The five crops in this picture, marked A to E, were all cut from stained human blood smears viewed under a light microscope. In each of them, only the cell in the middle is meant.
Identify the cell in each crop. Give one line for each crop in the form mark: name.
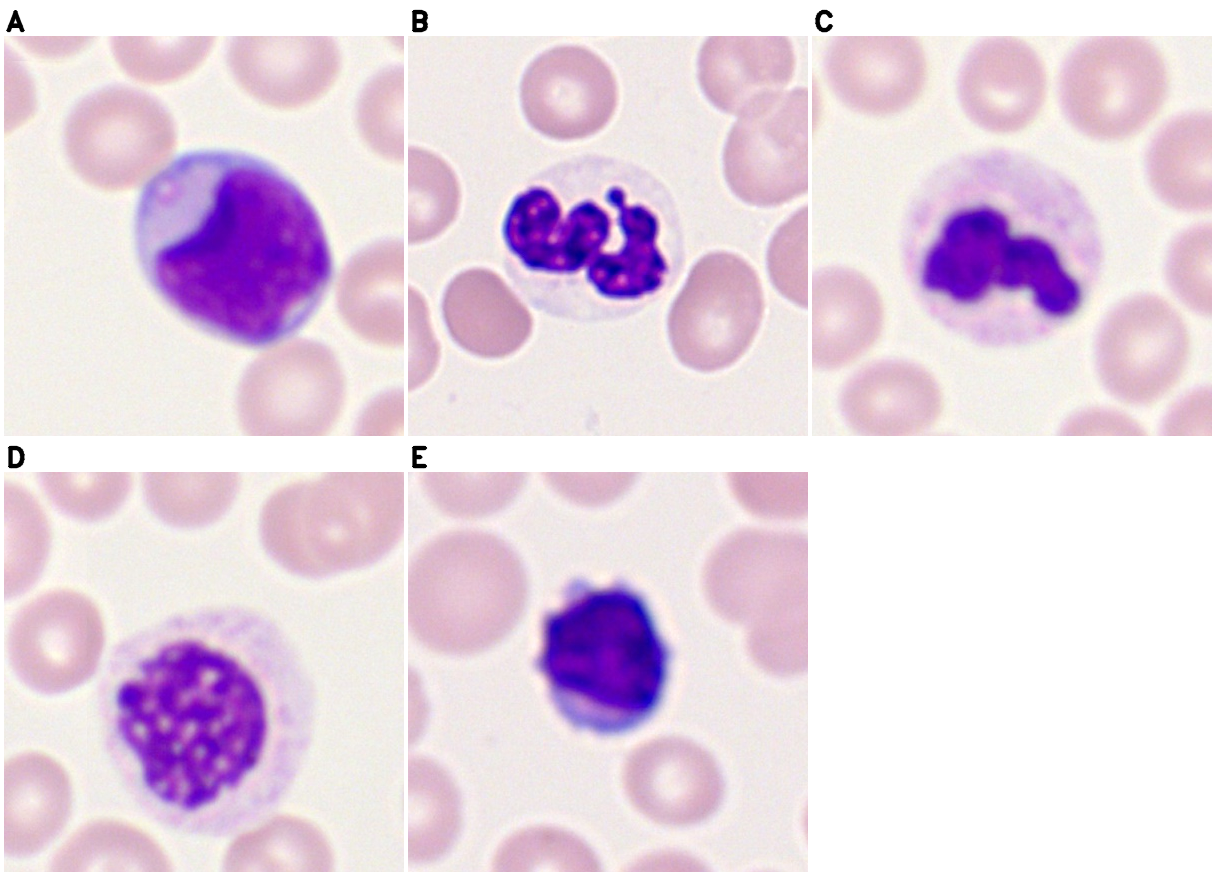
A: myeloblast
B: segmented neutrophil
C: segmented neutrophil
D: segmented neutrophil
E: lymphocyte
